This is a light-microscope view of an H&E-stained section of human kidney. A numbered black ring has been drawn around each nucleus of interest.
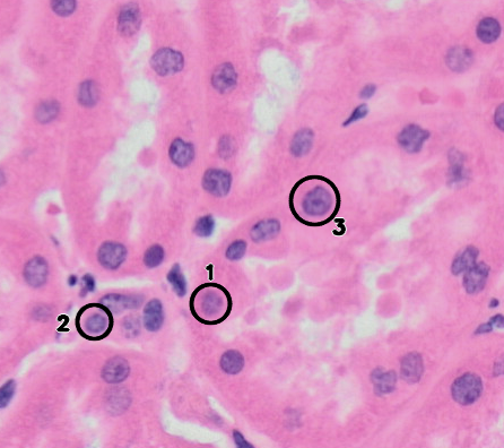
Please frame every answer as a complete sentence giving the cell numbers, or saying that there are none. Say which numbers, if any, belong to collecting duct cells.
Cell 2 is a collecting duct cell; the remaining numbered cells are not.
